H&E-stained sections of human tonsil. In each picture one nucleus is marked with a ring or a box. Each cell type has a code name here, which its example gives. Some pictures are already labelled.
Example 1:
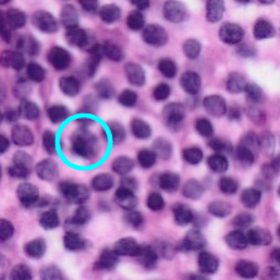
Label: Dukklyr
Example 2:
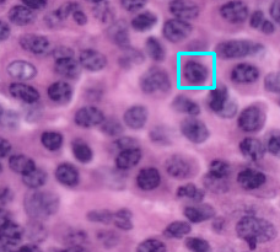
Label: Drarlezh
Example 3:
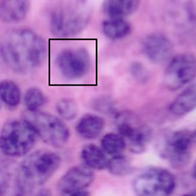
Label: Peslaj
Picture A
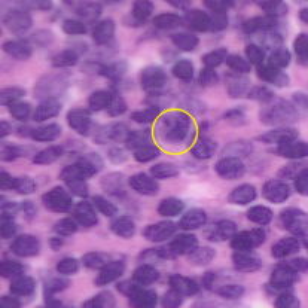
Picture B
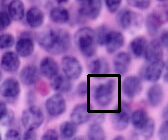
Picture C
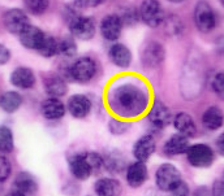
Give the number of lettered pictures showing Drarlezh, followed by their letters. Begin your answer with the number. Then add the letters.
0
